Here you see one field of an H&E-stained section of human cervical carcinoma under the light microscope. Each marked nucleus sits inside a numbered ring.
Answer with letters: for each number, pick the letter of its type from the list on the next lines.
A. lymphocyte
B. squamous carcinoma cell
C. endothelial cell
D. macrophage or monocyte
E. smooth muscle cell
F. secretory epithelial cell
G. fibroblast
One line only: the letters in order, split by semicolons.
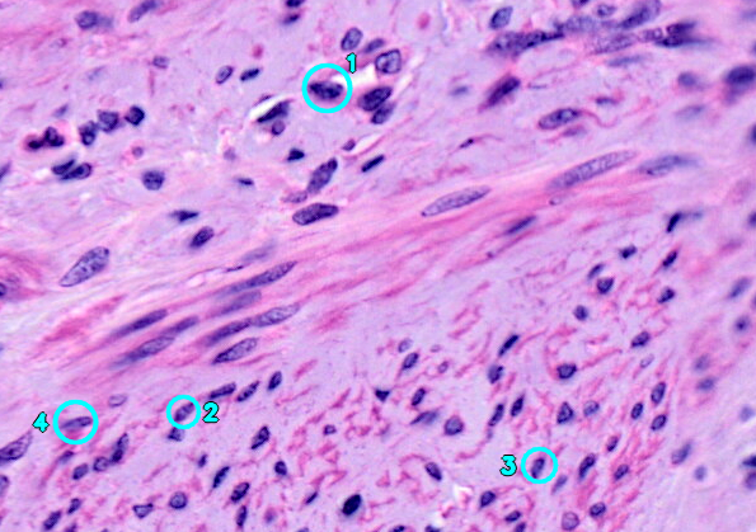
C; E; E; E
